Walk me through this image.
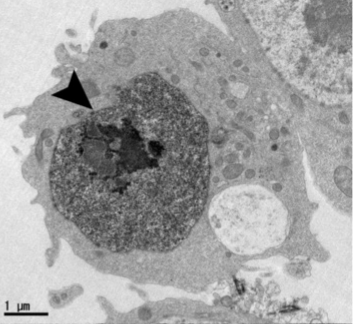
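The nucleus is large and round and fills much of the cell body, its chromatin evenly dense, with an irregular darker mass near the centre. Around it lies a grey cytoplasm with small organelles and a pale round vacuole beside the nucleus. At the edges parts of neighbouring cells are seen, whose nuclei are much paler.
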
